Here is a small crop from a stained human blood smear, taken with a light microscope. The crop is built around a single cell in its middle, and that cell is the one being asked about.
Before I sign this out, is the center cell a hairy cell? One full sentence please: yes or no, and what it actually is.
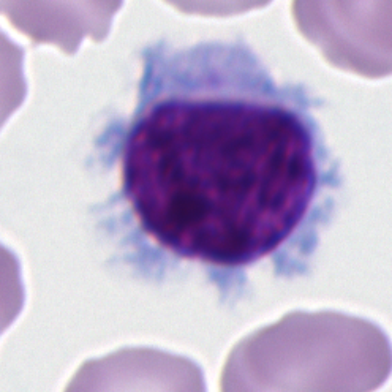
Yes, this is a hairy cell, the cell in the middle of the crop.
